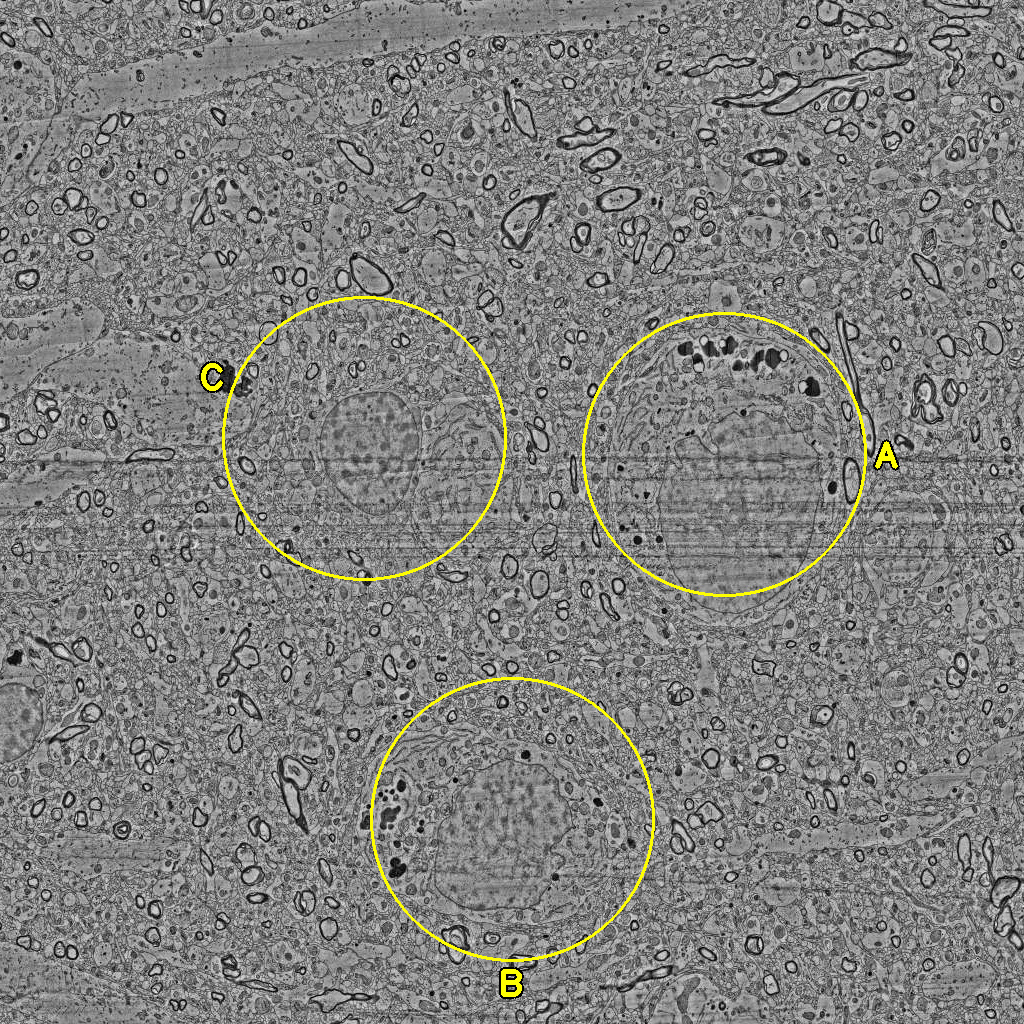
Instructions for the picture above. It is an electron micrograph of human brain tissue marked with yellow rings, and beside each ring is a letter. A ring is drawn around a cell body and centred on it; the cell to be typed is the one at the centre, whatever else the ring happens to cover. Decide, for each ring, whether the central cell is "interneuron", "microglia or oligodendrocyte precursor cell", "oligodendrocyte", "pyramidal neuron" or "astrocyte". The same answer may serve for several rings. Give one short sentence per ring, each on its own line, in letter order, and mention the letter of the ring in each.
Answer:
Ring A is drawn around a pyramidal neuron.
Ring B is drawn around an interneuron.
Ring C is drawn around an oligodendrocyte.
